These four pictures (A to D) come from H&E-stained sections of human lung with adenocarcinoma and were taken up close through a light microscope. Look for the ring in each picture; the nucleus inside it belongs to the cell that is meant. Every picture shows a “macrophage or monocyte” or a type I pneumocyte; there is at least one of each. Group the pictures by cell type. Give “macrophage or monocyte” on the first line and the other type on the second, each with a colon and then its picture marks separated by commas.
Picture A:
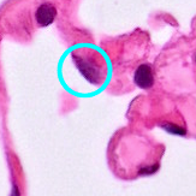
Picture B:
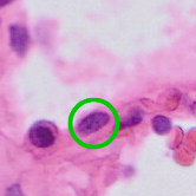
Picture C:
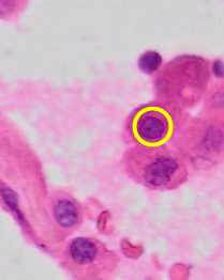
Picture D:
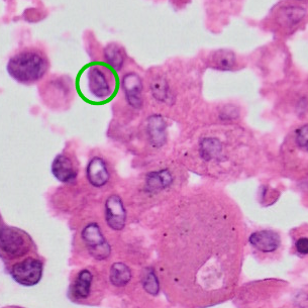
macrophage or monocyte: C, D
type I pneumocyte: A, B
